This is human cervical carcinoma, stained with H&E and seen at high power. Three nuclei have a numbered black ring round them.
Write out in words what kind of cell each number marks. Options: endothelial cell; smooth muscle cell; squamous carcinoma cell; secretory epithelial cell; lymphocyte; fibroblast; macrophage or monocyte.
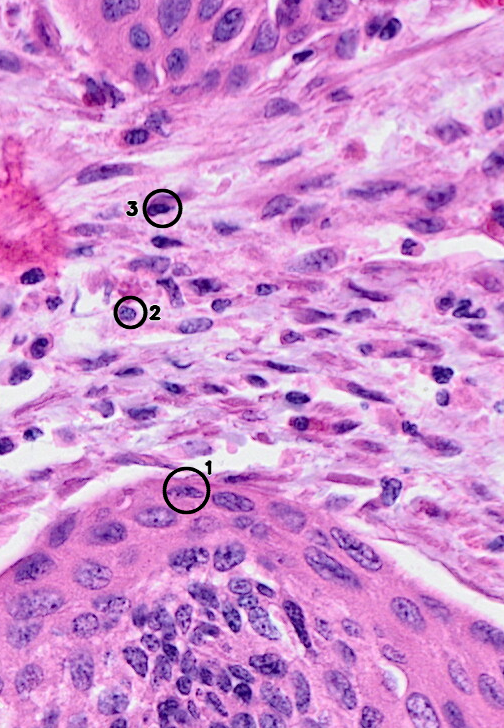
Cell 1 is a squamous carcinoma cell. Cells 2 and 3 are lymphocytes.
